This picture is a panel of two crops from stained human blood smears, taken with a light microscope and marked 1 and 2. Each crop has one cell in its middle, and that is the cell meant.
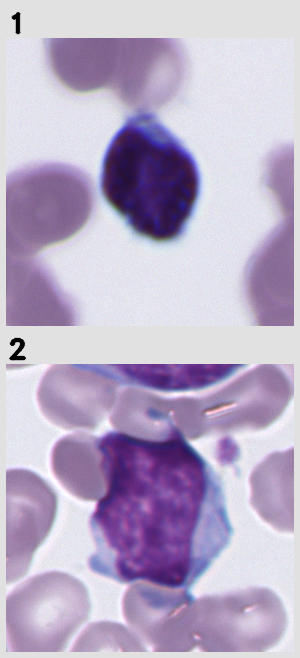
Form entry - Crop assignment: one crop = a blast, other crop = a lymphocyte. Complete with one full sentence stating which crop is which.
The cell at the middle is a lymphocyte in crop 1, but a blast in crop 2.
